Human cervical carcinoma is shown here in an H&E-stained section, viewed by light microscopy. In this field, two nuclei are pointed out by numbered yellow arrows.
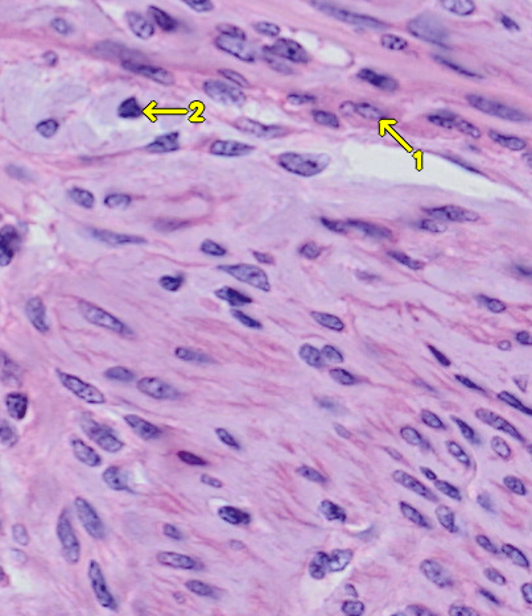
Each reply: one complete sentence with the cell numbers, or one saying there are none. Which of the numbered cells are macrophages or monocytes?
The correct answer is that none of the numbered cells are macrophages or monocytes.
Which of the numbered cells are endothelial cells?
Cell 1, and no other numbered cell, is an endothelial cell.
